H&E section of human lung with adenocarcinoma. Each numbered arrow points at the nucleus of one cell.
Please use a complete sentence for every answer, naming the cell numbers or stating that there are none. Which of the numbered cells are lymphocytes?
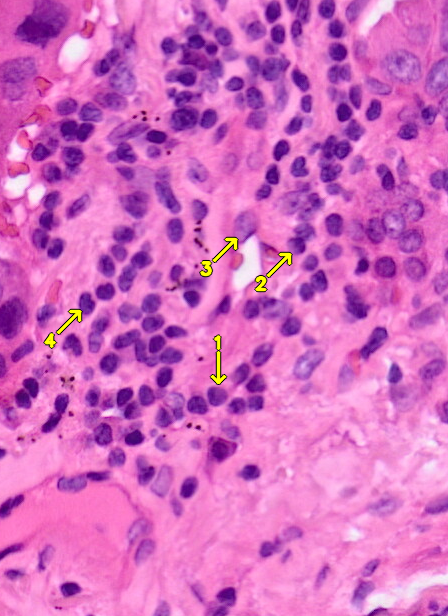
The cells given the numbers 1, 2 and 4 are lymphocytes.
